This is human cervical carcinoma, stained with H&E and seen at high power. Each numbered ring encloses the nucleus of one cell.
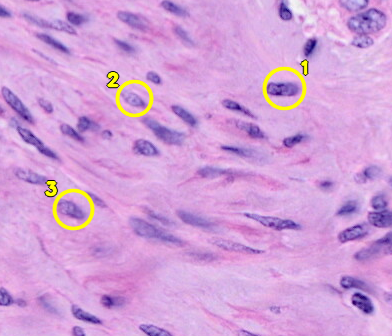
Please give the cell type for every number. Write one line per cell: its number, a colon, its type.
1: fibroblast
2: smooth muscle cell
3: smooth muscle cell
